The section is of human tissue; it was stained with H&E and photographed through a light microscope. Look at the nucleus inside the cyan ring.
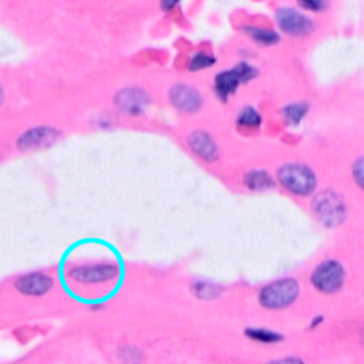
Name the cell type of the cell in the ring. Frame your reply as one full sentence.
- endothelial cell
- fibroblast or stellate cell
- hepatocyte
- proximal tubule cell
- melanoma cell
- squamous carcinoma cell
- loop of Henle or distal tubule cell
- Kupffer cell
With respect to cell type, the cell in the ring is a loop of Henle or distal tubule cell.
